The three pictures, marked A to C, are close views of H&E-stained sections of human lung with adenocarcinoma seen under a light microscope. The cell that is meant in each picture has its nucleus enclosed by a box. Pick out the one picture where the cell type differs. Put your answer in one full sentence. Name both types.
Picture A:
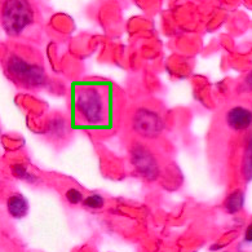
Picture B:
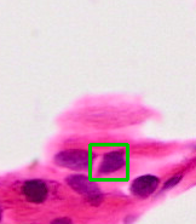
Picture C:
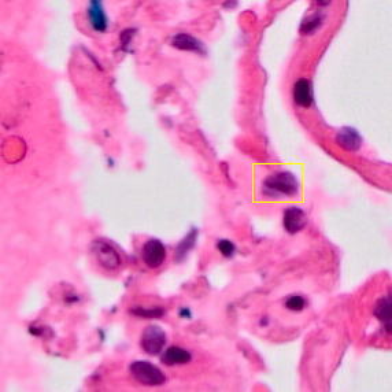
The different one is picture A; it shows a “macrophage or monocyte”, whereas all the others show type I pneumocytes.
